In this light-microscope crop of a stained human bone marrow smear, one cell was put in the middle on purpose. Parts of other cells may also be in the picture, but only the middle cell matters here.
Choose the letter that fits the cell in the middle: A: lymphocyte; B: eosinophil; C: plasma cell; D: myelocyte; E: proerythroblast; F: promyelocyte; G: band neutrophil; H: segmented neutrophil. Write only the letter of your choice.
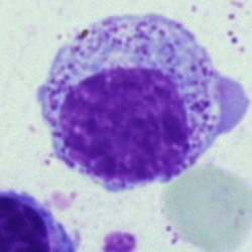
D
